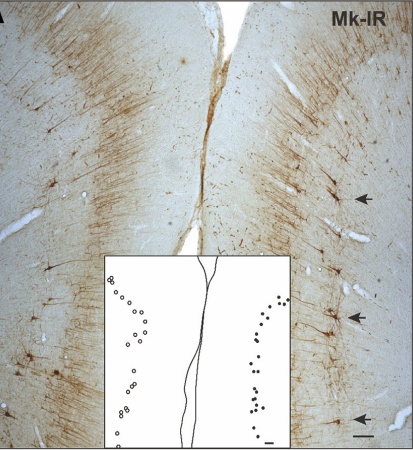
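This is a coronal section through the medial cortex of both hemispheres, which face each other across the midline, with neurons stained brown. Scattered large neuronal cell bodies, some marked by arrows, lie in a deep band of the cortex, and each sends a long process up toward the surface, while many fine brown fibres run radially through the cortex.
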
